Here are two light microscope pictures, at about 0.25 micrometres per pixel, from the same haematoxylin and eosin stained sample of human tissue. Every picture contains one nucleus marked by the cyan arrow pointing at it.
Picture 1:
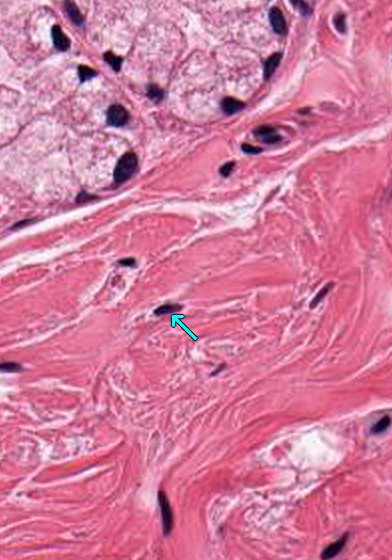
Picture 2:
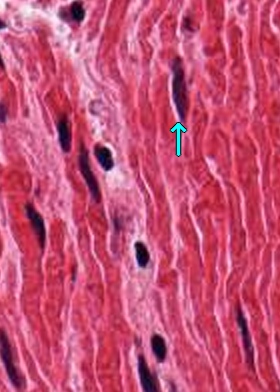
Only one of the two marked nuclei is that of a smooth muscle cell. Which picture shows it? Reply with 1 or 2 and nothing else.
2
